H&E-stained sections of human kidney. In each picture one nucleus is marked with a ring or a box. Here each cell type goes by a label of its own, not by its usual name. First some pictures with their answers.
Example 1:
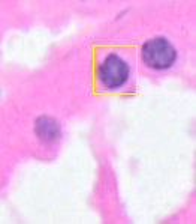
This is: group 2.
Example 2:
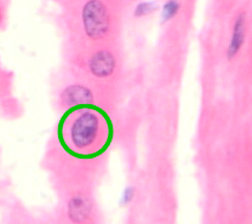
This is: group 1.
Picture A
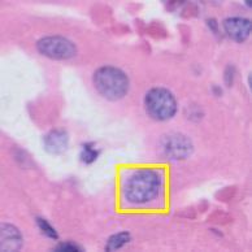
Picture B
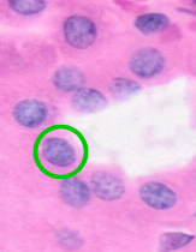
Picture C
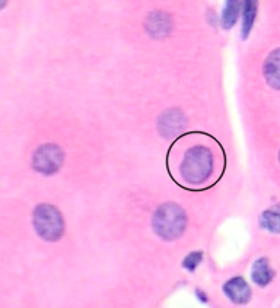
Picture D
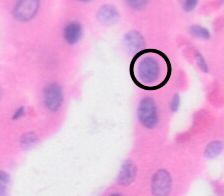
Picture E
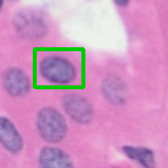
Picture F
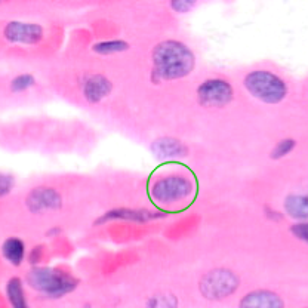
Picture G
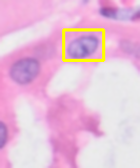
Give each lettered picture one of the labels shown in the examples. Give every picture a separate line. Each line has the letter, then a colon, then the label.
A: group 2.
B: group 2.
C: group 1.
D: group 2.
E: group 2.
F: group 2.
G: group 1.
